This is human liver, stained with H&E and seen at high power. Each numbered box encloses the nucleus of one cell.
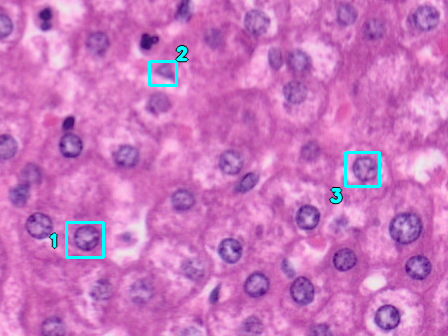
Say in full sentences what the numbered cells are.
Cell 1 is a hepatocyte, cell 2 is a Kupffer cell and cell 3 is a hepatocyte.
